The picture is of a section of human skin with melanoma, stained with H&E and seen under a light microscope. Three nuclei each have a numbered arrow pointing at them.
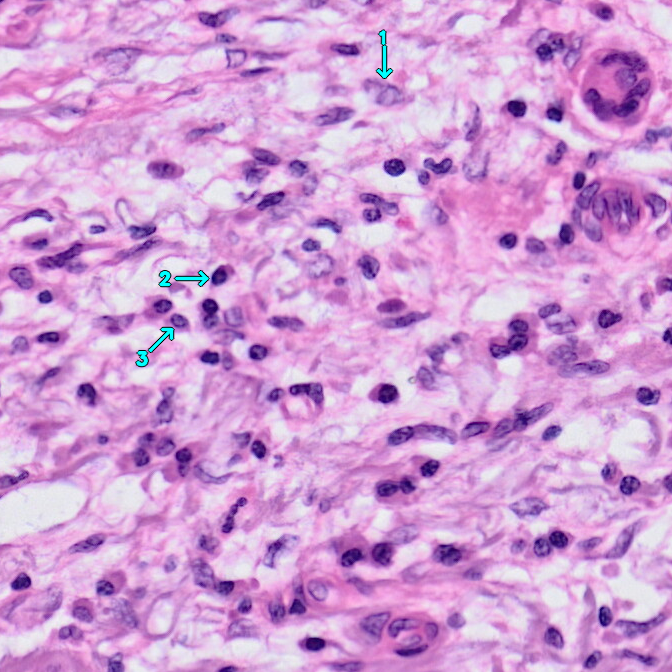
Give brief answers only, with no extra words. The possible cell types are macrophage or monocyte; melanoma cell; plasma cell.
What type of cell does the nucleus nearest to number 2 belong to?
plasma cell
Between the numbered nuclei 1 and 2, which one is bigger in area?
1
